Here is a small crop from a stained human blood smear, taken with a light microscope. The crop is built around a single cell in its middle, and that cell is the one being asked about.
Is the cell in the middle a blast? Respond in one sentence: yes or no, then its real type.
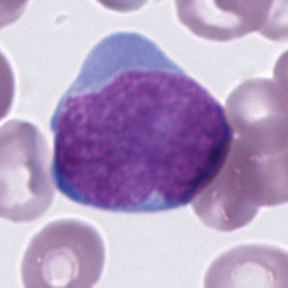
Yes, the middle of the crop is occupied by a blast.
